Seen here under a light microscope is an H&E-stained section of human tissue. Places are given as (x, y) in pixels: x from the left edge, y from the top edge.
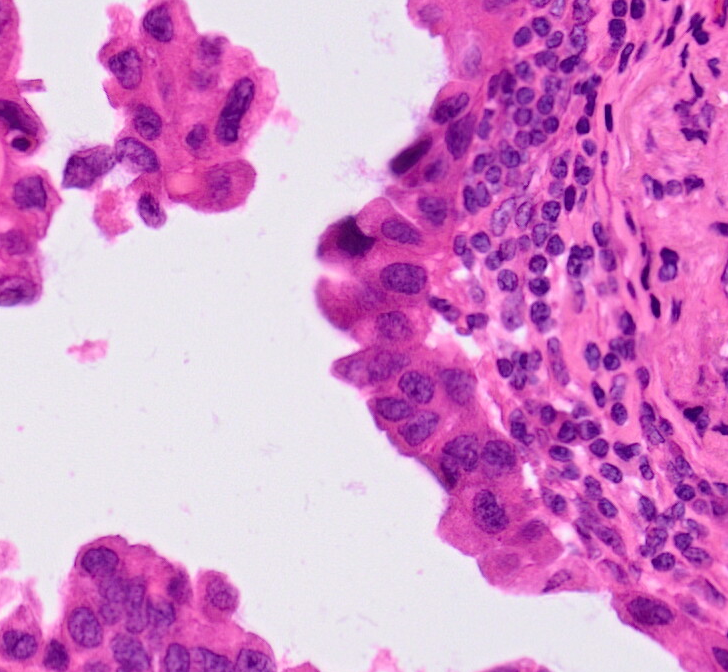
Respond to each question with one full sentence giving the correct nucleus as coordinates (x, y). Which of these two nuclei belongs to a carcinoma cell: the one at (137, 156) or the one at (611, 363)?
The nucleus that belongs to a carcinoma cell is located at (137, 156).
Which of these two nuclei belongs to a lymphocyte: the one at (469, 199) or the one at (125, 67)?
Of the two nuclei present, the one at (469, 199) is within a lymphocyte.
